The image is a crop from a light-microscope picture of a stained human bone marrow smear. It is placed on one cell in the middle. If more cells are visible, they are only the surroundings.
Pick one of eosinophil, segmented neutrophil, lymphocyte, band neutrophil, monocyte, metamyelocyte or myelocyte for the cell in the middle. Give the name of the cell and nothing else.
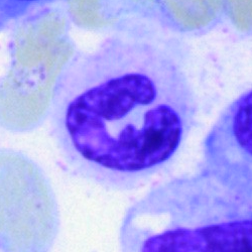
segmented neutrophil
